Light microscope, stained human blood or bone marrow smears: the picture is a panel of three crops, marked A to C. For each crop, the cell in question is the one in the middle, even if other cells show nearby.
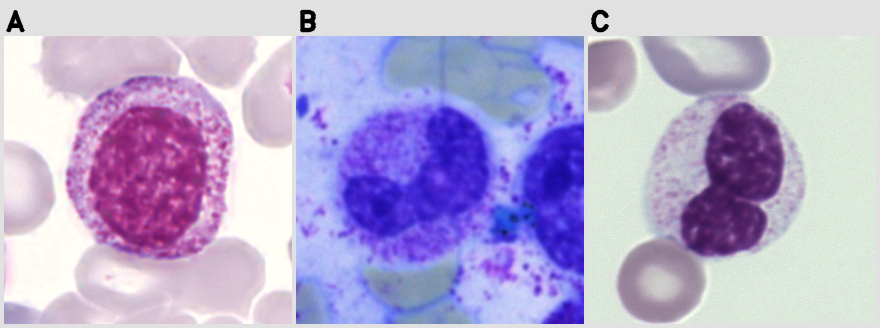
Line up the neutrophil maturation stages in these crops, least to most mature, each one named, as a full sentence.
Proceeding from least to most mature, the order is crop A (a myelocyte), crop B (a band neutrophil) and crop C (a segmented neutrophil).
